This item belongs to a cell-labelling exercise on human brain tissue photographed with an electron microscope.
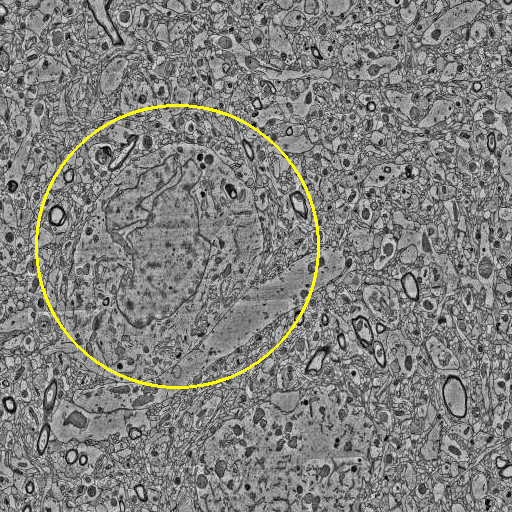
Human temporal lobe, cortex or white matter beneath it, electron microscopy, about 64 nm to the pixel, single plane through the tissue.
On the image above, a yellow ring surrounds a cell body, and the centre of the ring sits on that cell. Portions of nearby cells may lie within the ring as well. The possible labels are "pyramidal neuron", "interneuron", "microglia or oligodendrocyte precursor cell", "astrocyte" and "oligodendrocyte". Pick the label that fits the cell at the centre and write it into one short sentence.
This cell should be labelled as an interneuron.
